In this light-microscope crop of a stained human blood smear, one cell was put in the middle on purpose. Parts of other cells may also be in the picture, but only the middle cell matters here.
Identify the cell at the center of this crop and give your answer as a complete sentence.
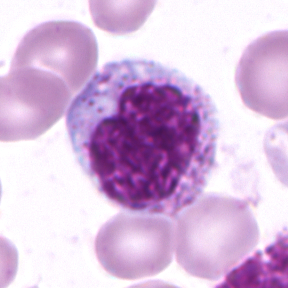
The cell at the central position in this crop is a metamyelocyte.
